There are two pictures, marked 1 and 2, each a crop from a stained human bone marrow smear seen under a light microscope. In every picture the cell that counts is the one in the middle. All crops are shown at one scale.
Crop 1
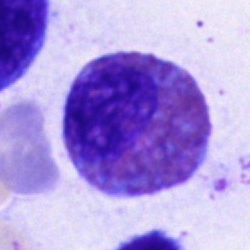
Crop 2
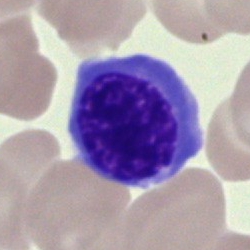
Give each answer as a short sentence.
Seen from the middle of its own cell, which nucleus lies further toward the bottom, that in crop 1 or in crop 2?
In crop 2 the nucleus is shifted more toward the bottom.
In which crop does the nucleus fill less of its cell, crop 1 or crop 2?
The nucleus fills less of the cell in crop 1 than in crop 2.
